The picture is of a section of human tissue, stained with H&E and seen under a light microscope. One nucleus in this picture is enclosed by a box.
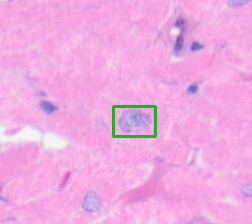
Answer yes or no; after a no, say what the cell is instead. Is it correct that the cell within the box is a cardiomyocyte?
Yes.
